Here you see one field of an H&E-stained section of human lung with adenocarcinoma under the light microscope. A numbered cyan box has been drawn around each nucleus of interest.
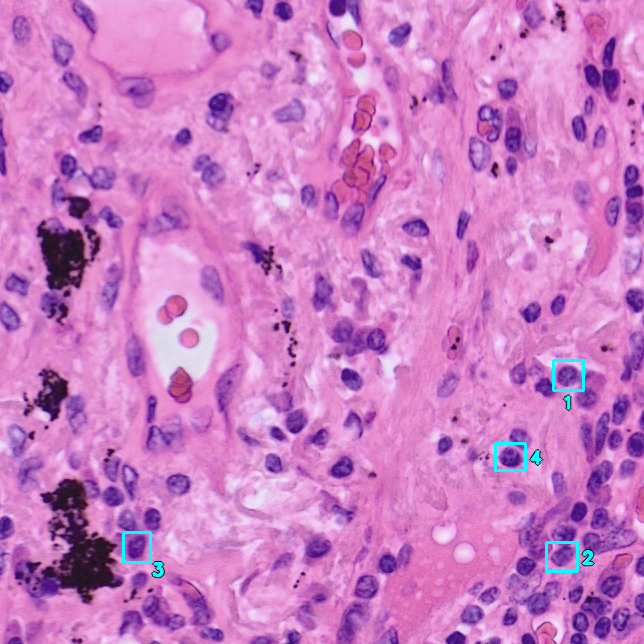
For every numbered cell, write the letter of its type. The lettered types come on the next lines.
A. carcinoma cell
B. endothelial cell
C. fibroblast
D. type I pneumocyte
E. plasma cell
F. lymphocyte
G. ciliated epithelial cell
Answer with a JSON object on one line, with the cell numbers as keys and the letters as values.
{"1": "F", "2": "F", "3": "E", "4": "F"}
